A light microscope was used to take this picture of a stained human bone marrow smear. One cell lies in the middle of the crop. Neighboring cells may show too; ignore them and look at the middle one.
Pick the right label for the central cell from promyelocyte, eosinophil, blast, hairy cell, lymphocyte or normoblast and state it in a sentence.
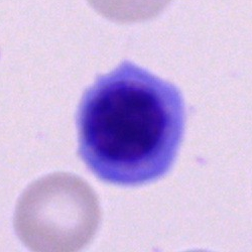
At the center of the crop sits a normoblast.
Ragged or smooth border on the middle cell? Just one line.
Around its circumference, the cell has an uneven edge, ragged or projecting in places.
